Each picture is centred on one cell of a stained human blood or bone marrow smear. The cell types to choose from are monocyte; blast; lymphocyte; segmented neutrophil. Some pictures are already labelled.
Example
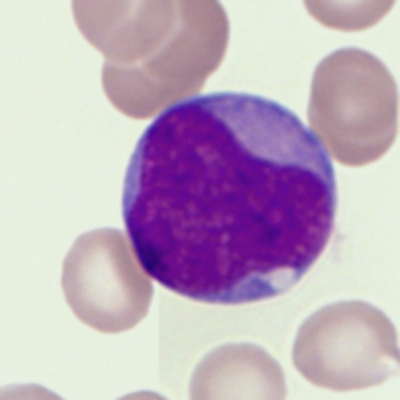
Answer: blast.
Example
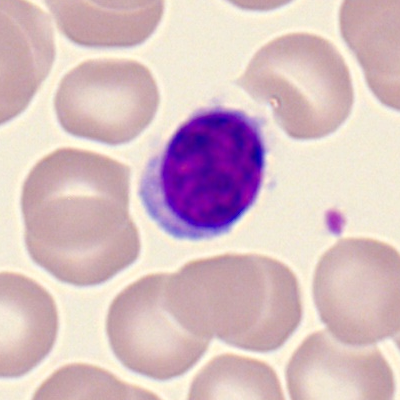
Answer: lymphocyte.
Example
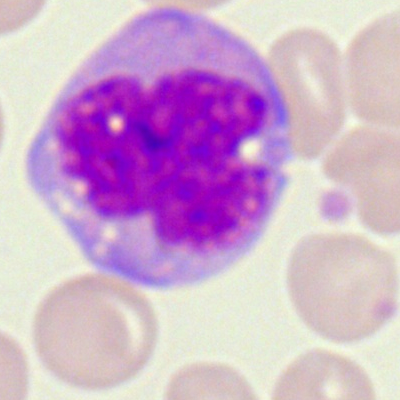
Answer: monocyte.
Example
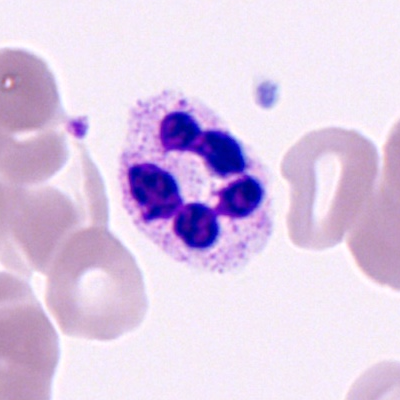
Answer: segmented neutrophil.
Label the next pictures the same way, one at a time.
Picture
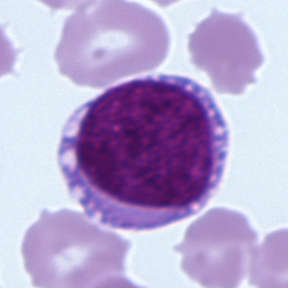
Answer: blast.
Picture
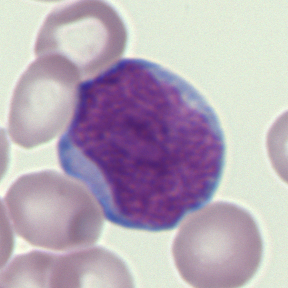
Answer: blast.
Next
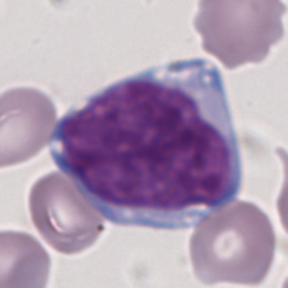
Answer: blast.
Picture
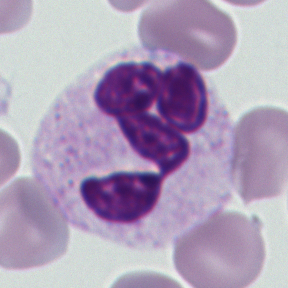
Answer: segmented neutrophil.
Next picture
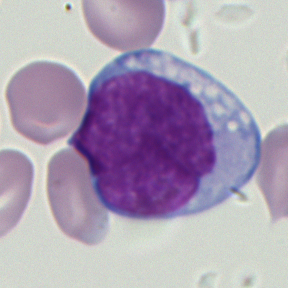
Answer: blast.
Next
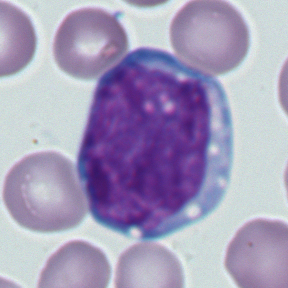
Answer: blast.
